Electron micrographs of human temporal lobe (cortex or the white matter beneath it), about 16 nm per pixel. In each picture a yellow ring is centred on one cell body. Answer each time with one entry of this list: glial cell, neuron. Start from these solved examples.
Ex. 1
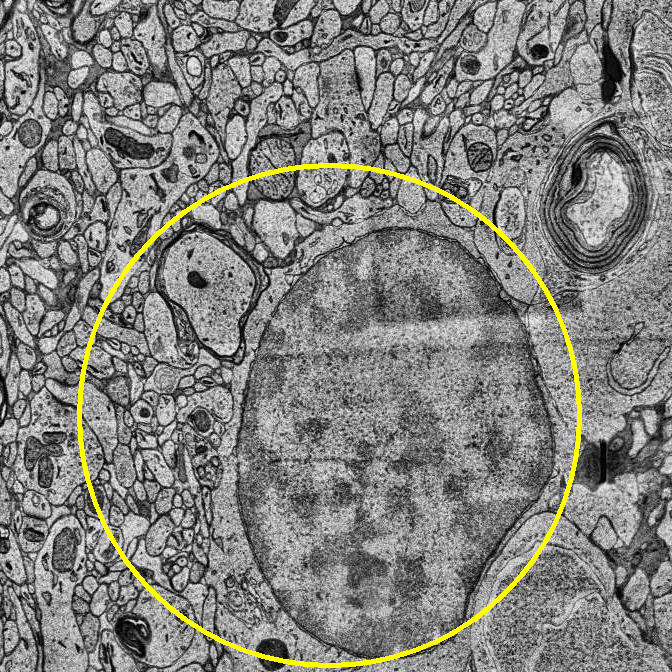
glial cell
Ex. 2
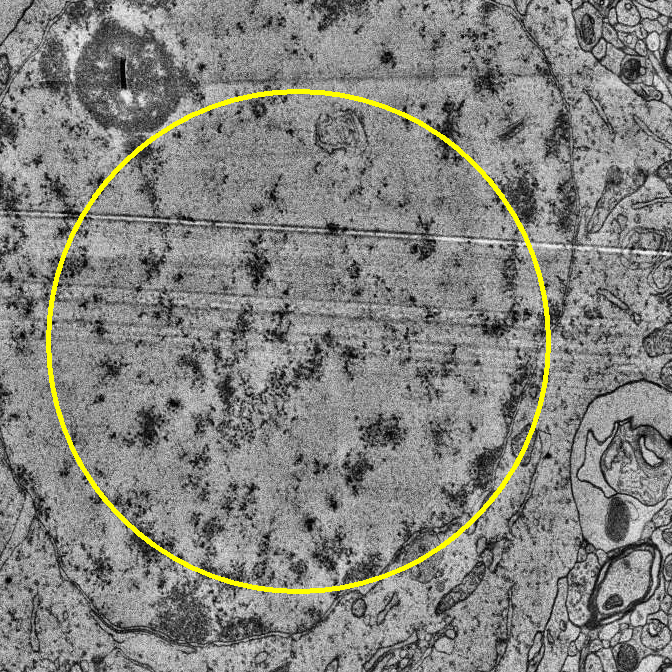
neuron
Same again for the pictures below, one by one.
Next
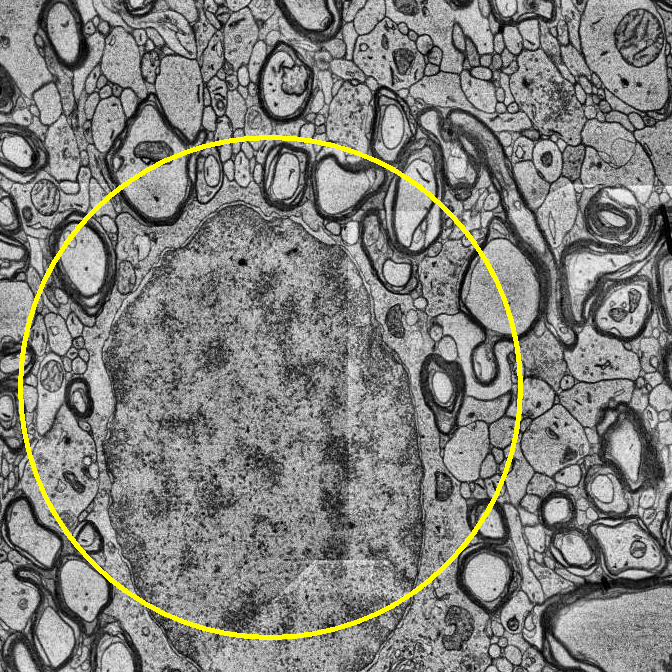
glial cell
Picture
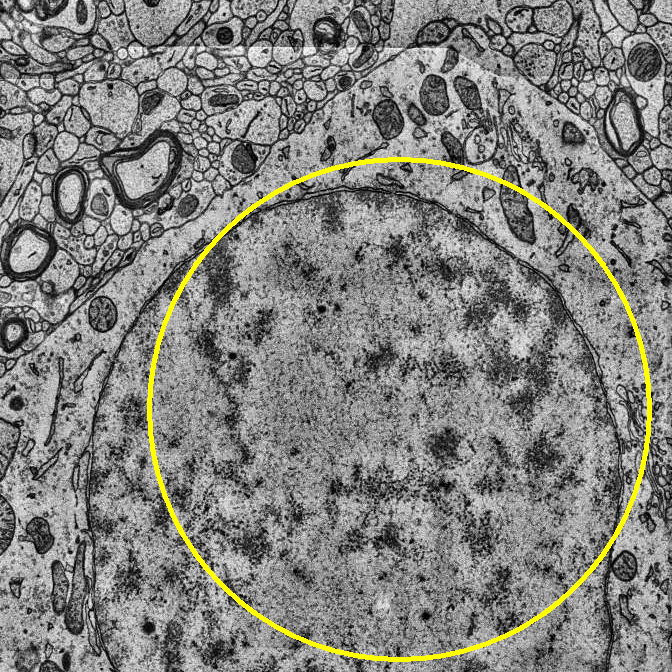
neuron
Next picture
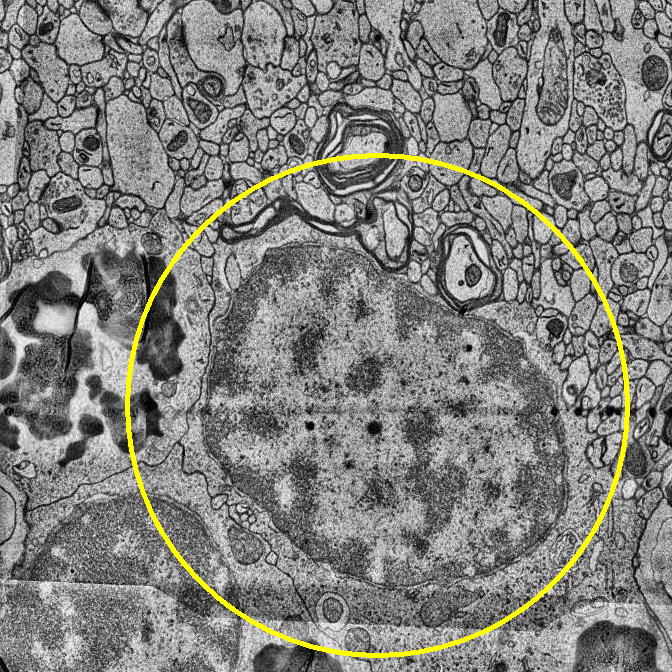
glial cell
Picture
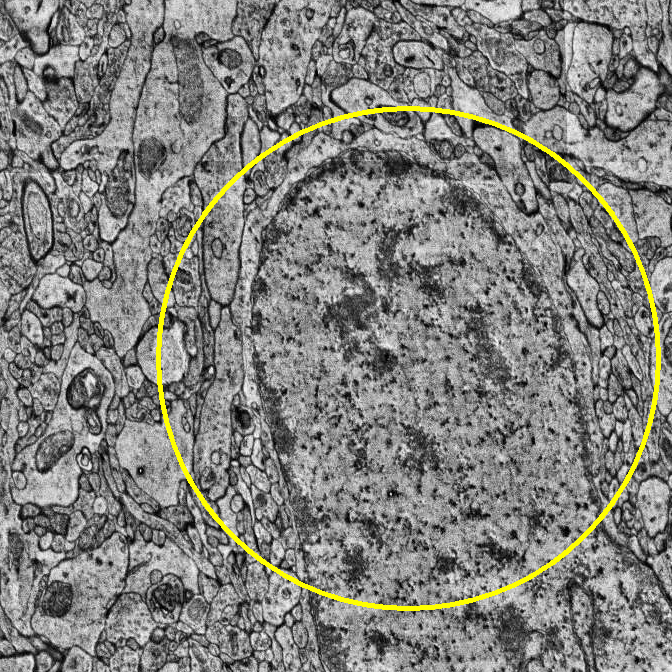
glial cell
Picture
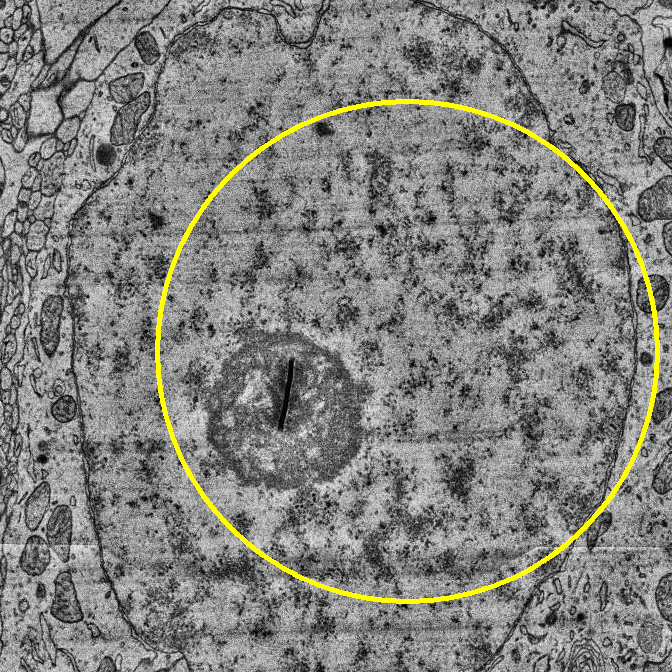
neuron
